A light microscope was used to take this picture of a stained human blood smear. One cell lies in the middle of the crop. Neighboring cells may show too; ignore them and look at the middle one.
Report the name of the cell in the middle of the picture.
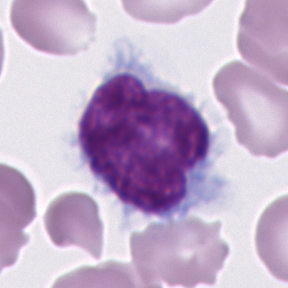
hairy cell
